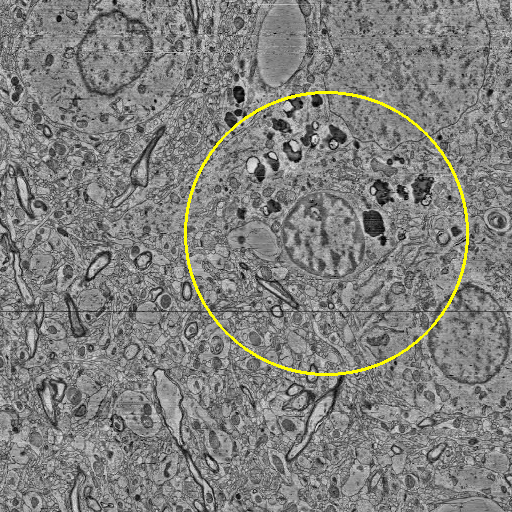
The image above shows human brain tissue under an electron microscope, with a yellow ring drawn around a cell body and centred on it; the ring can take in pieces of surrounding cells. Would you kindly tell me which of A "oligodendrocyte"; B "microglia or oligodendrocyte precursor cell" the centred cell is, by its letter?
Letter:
A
